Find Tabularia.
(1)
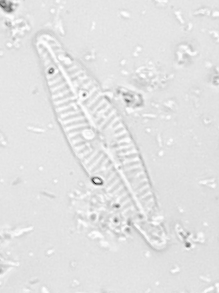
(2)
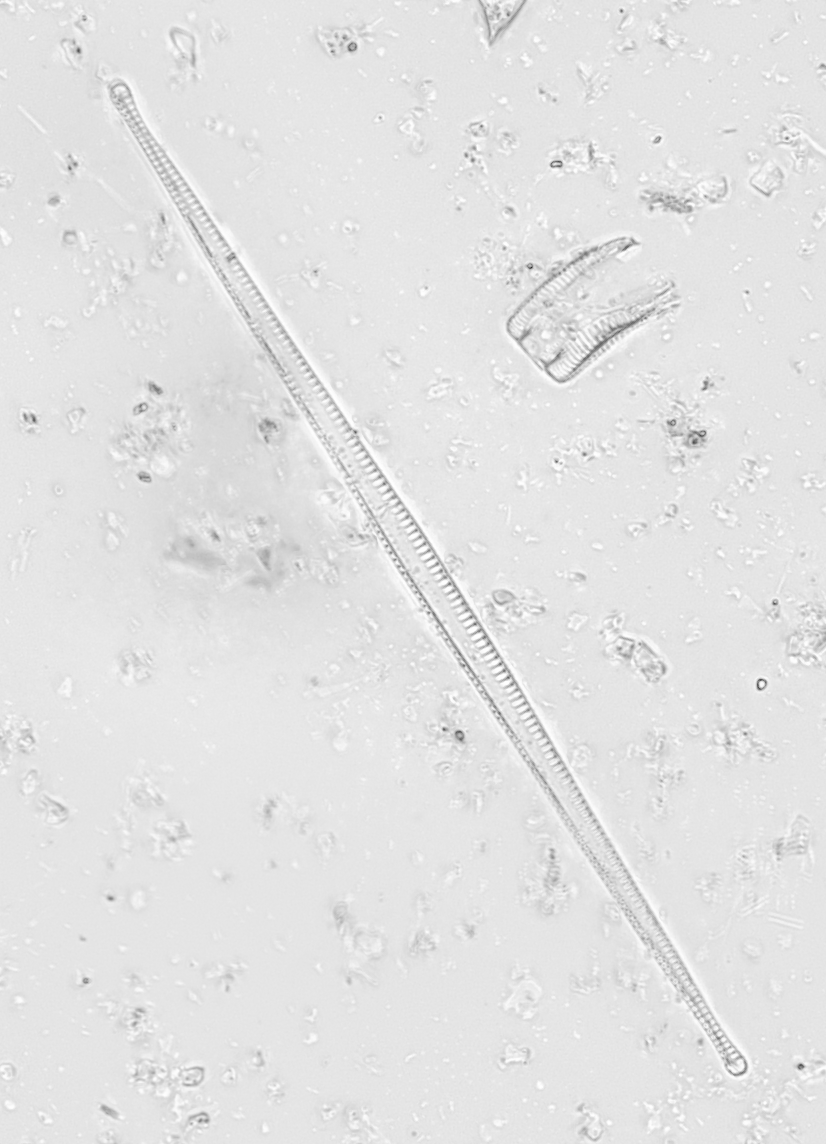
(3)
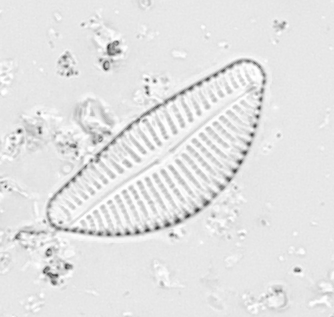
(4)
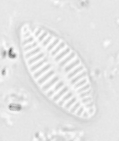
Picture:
2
